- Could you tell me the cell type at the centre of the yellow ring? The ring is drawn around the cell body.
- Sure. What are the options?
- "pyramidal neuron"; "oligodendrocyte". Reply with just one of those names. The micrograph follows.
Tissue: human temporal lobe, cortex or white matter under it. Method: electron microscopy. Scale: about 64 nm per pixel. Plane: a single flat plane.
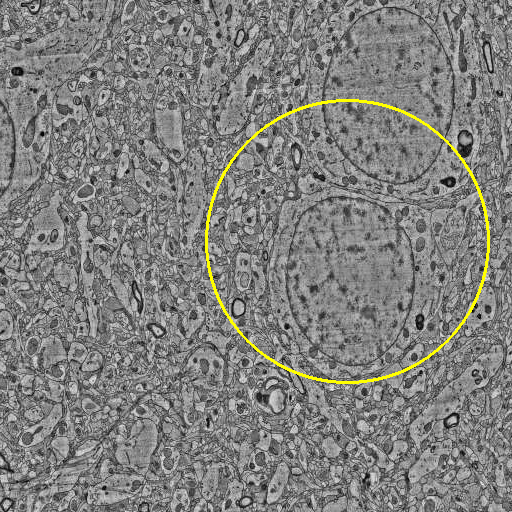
pyramidal neuron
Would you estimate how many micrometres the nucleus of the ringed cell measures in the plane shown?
In this plane, about 11 micrometres in length and 8 in width.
